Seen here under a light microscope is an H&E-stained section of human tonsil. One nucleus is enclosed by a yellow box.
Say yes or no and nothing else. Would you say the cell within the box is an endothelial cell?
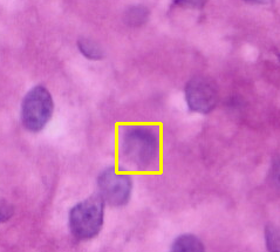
no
